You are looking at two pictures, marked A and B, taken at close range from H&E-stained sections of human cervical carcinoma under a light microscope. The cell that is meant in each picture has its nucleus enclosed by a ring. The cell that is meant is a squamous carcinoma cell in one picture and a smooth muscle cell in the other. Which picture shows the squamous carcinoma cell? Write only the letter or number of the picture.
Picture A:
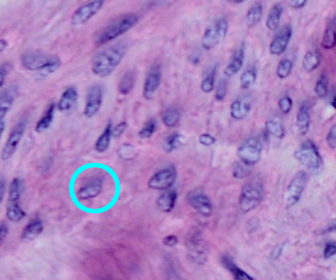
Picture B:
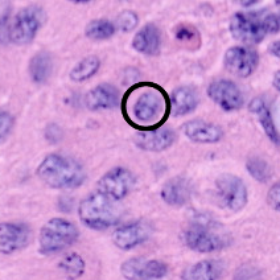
B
